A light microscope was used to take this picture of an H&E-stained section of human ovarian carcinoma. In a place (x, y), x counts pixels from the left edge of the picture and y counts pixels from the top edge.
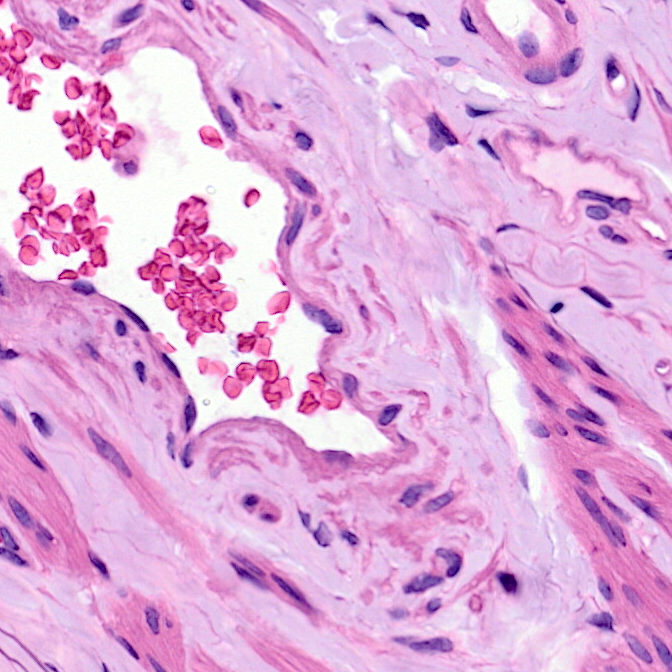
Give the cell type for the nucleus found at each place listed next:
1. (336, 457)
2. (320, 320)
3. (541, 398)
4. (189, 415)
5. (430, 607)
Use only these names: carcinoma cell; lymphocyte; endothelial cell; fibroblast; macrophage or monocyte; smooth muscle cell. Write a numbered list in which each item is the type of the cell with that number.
1. endothelial cell
2. endothelial cell
3. smooth muscle cell
4. endothelial cell
5. smooth muscle cell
